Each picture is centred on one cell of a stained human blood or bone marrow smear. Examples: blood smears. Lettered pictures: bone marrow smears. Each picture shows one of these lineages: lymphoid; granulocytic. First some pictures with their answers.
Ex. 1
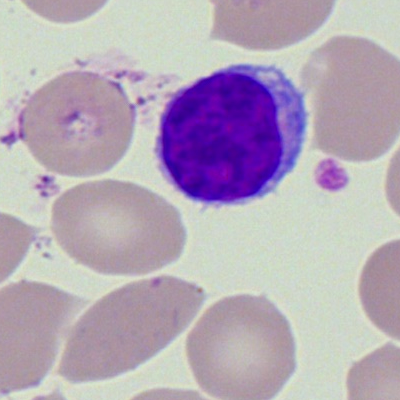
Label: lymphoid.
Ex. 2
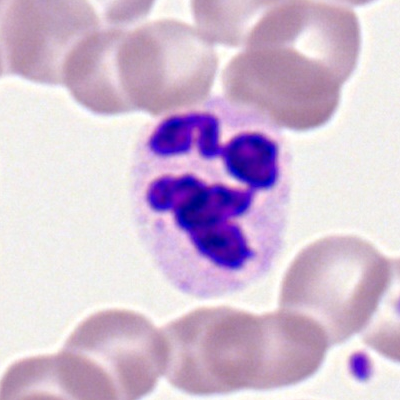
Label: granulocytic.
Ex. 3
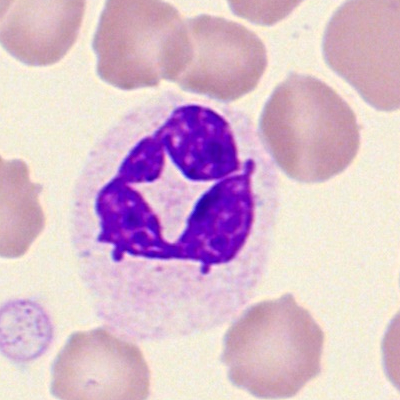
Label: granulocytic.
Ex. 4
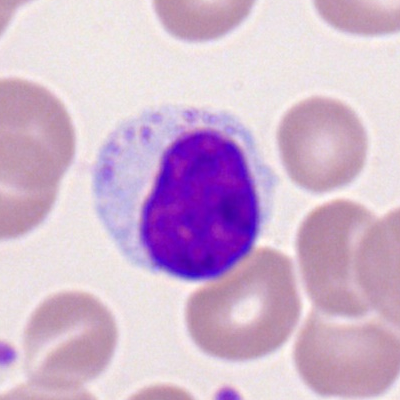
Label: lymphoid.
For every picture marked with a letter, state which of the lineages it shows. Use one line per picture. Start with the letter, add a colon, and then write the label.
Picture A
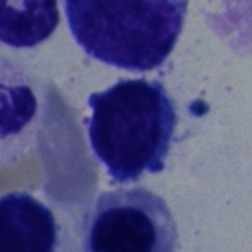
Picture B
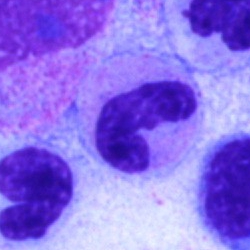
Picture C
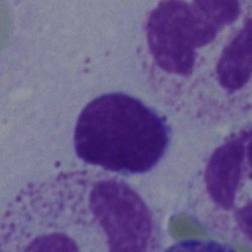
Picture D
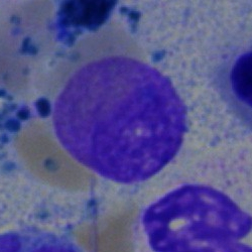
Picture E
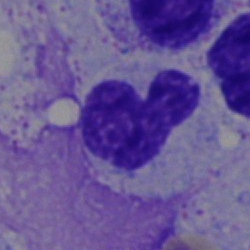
A: lymphoid.
B: granulocytic.
C: lymphoid.
D: granulocytic.
E: granulocytic.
